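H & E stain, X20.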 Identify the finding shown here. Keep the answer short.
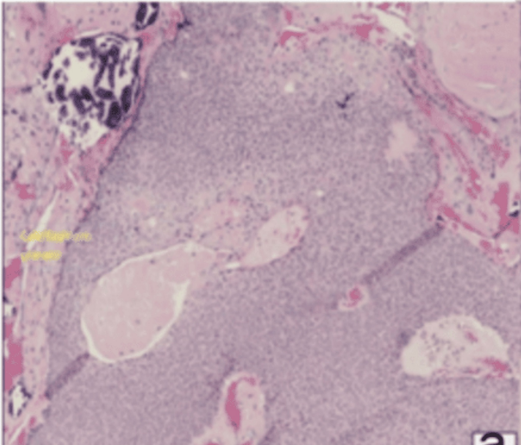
Nodular proliferation of epithelial cells.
